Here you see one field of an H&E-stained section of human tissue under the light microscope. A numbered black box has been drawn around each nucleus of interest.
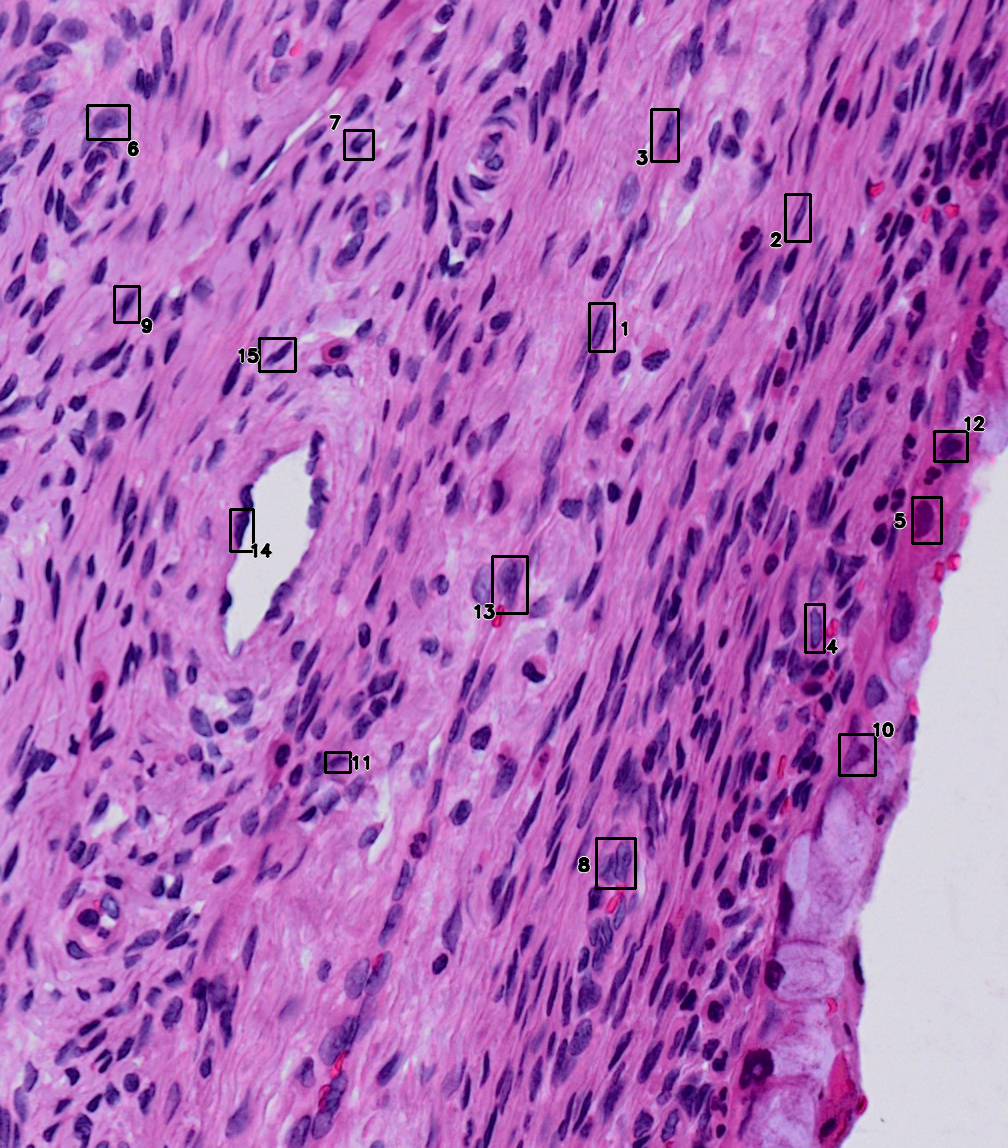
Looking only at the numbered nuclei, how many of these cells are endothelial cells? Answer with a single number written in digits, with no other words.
6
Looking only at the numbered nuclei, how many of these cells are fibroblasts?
6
